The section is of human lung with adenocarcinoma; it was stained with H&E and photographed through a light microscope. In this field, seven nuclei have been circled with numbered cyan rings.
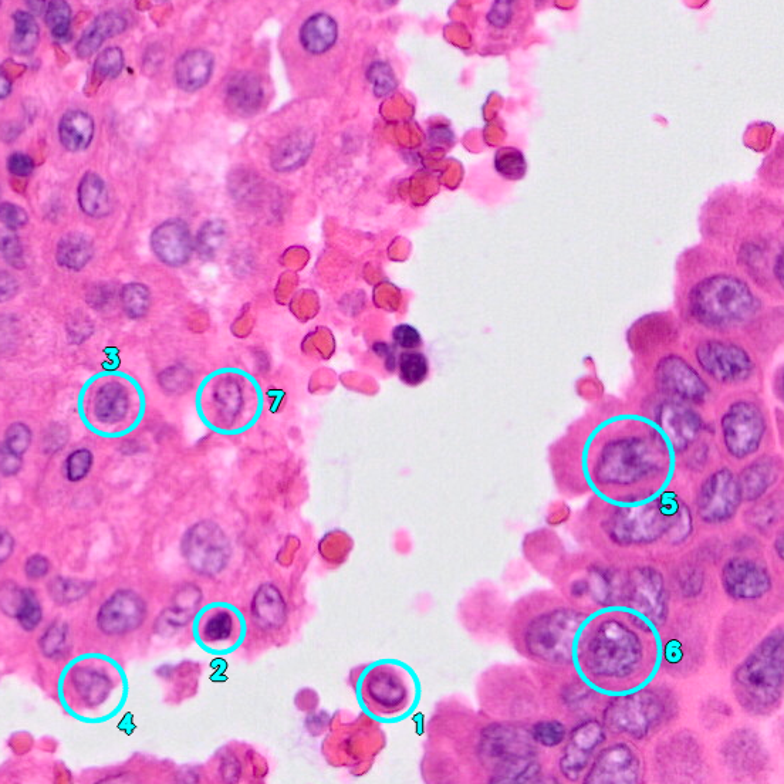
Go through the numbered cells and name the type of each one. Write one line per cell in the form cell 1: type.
cell 1: macrophage or monocyte
cell 2: lymphocyte
cell 3: macrophage or monocyte
cell 4: macrophage or monocyte
cell 5: carcinoma cell
cell 6: carcinoma cell
cell 7: macrophage or monocyte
